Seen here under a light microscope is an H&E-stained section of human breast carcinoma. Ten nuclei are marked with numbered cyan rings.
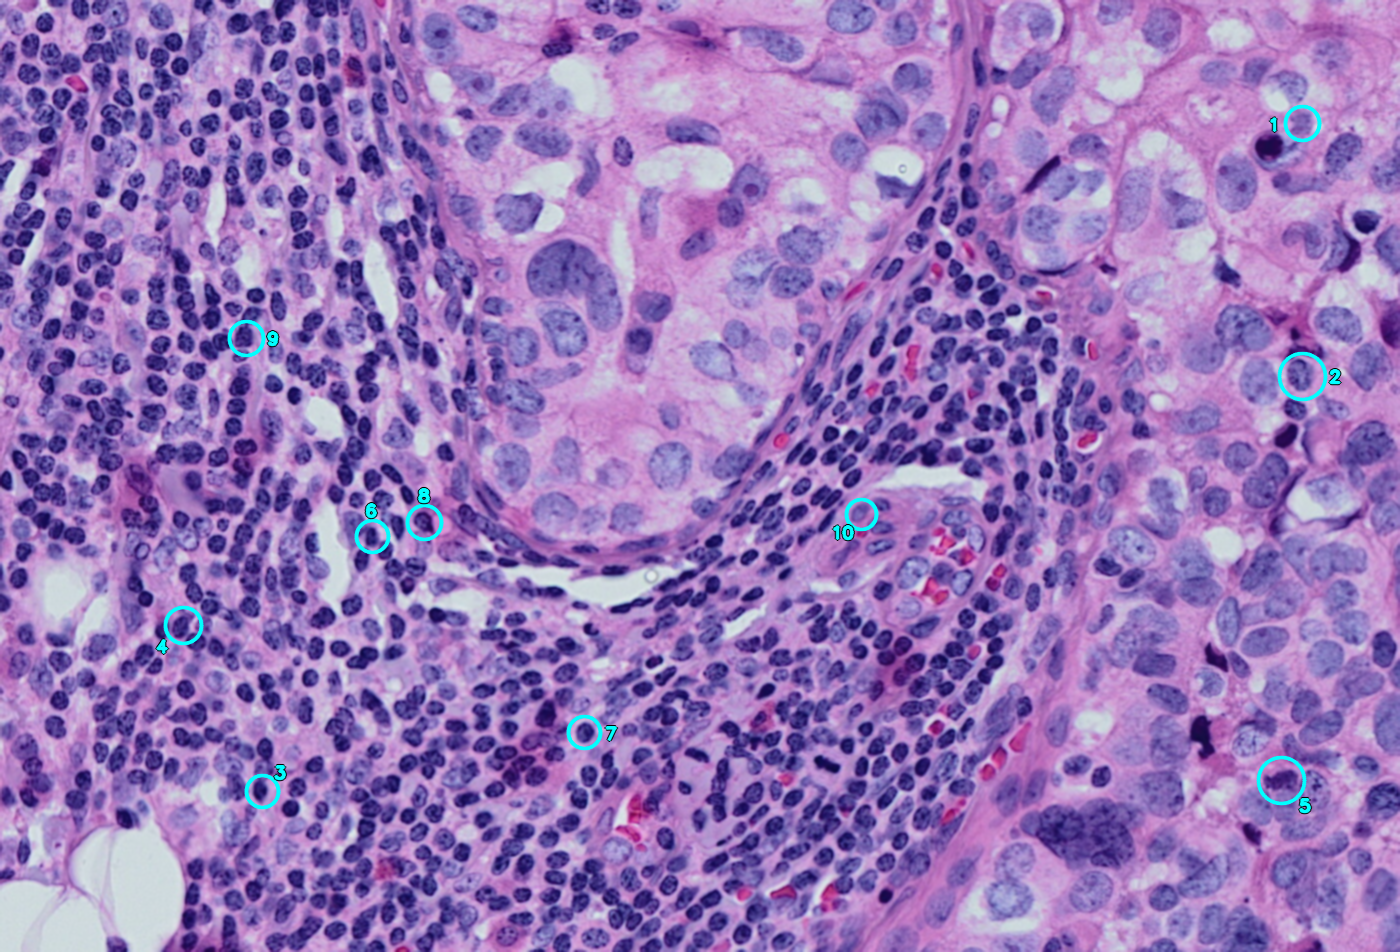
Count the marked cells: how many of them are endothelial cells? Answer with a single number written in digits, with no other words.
1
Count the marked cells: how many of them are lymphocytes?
6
